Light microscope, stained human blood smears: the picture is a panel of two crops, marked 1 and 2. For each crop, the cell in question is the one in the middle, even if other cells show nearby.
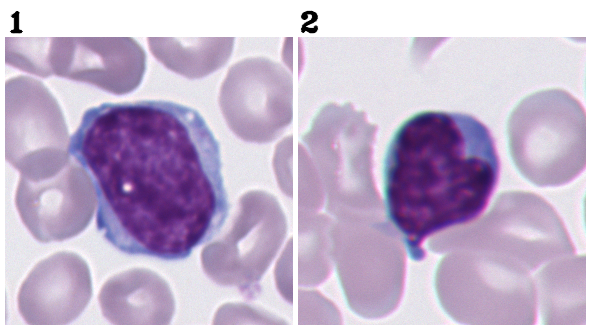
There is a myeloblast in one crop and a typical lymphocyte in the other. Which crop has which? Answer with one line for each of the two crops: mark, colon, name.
1: myeloblast
2: typical lymphocyte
